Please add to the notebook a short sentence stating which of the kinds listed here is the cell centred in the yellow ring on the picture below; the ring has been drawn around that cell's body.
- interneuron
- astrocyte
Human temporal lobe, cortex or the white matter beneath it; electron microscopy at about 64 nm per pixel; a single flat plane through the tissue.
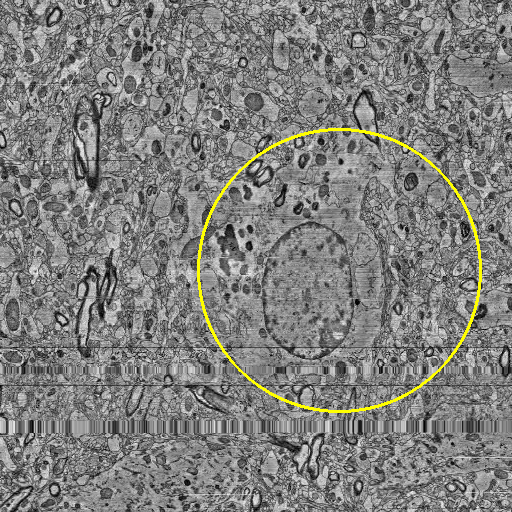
The cell centred in the yellow ring is an astrocyte.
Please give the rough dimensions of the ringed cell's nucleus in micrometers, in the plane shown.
The nucleus of the ringed cell is clearly longer than it is wide in this plane, about 9 by 6 micrometres.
